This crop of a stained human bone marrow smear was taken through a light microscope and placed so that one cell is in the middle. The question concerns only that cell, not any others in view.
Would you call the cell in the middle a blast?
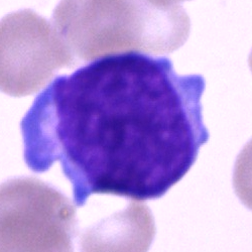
yes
